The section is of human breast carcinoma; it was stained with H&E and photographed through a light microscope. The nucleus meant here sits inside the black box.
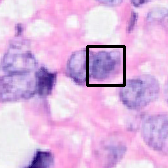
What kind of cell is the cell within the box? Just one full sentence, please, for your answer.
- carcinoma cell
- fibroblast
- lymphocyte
Speaking plainly, the cell within the box is nothing other than a carcinoma cell.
